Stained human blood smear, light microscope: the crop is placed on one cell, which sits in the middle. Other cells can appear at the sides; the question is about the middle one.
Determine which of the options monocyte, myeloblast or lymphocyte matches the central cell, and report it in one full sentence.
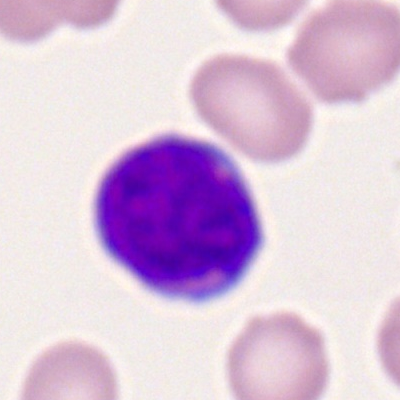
The cell nearest the centre of this crop is a lymphocyte.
